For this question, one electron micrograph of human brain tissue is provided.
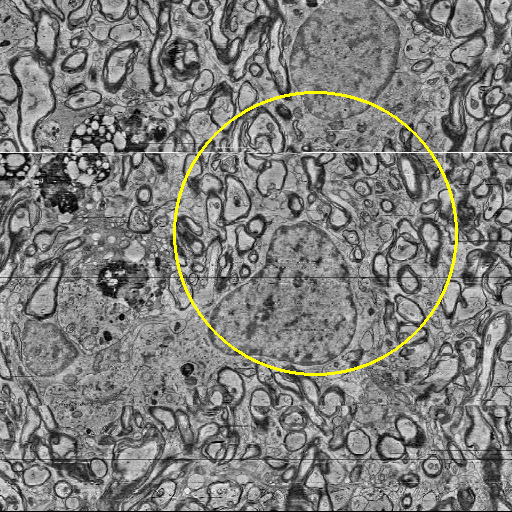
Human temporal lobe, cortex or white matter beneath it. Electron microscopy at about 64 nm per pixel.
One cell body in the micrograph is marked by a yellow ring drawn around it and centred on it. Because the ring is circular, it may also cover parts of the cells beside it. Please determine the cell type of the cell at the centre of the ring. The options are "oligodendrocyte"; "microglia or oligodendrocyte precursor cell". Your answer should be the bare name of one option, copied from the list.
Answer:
microglia or oligodendrocyte precursor cell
